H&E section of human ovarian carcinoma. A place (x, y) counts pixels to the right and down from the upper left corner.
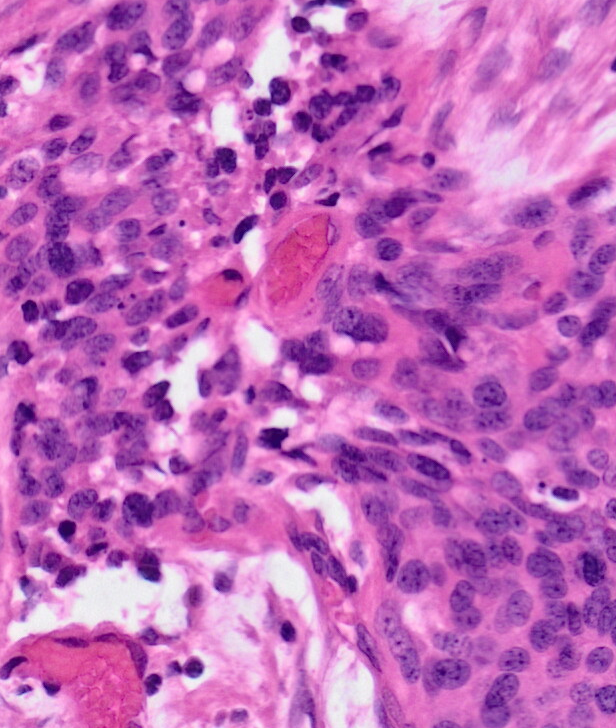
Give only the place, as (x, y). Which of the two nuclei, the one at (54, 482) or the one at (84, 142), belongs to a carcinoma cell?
(54, 482)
